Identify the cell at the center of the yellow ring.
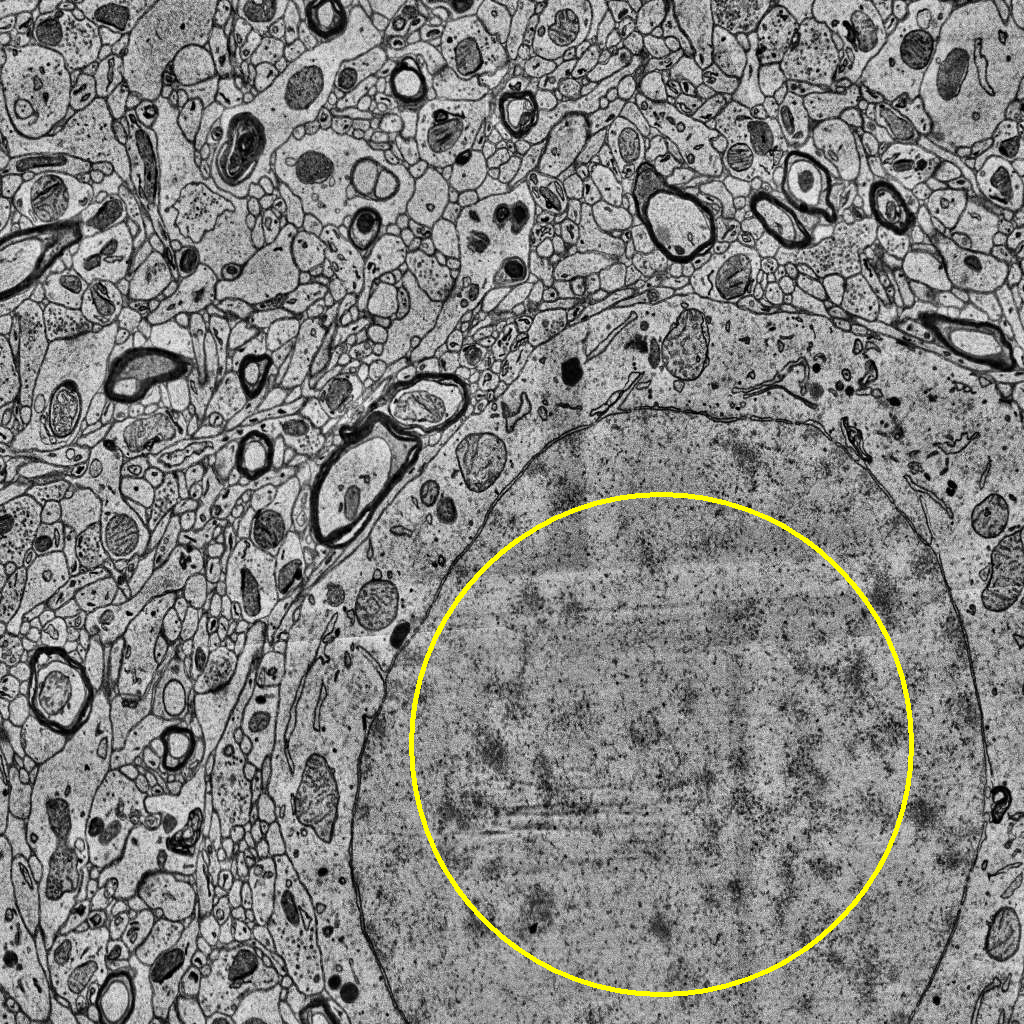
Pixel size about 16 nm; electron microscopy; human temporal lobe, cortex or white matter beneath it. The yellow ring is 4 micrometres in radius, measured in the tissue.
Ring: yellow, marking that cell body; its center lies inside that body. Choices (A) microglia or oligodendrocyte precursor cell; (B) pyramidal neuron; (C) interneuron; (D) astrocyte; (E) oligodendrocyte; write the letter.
B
